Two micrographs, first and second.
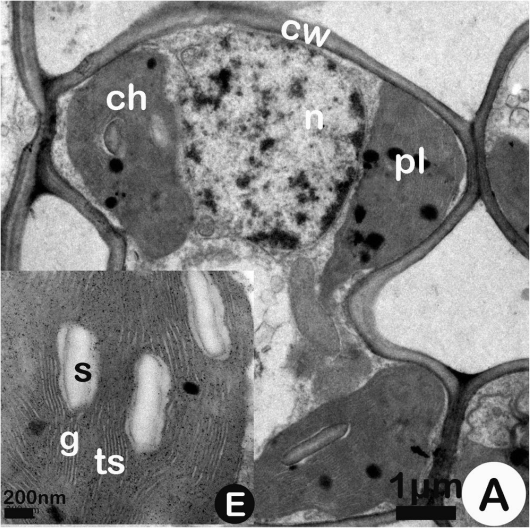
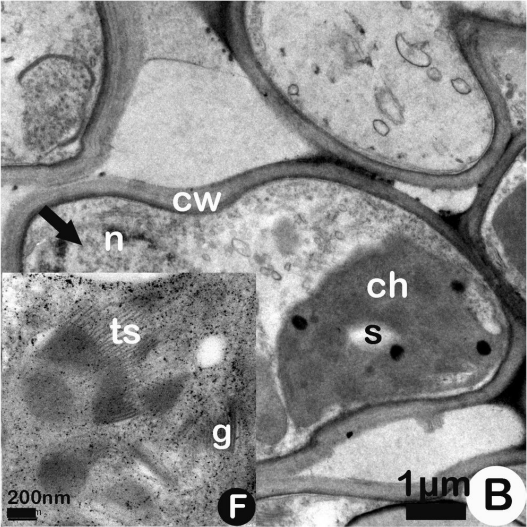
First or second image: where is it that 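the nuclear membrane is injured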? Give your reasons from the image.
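First image: the nucleus is round with a clearly bounded outline. Second image: the nuclear outline is vague and poorly defined where the arrow points.
Answer: the second image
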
